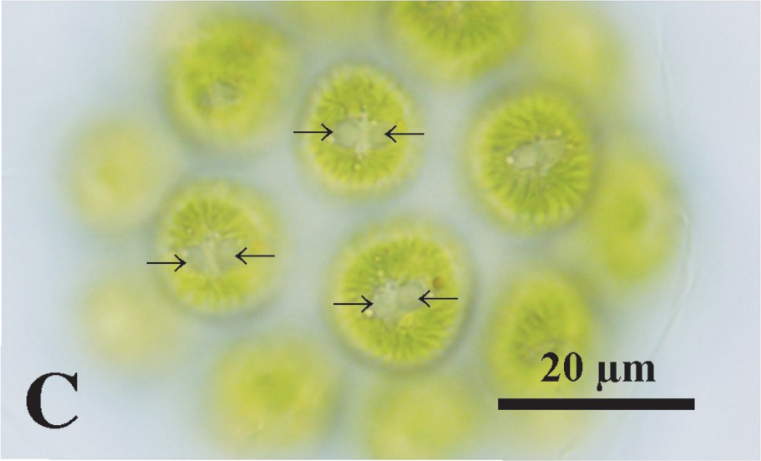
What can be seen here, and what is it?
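These are green algal cells of a colony seen from the surface, each cell round and packed with green chloroplast. The chloroplast shows fine radiating ridges running from the cell edge toward the centre, giving each cell a spoked look. Near the centre of each sharply focused cell lies a small, clear, colourless space; these are the anterior contractile vacuoles. The cells are separated from one another by clear gaps of colourless matrix, and cells at the colony's edge are out of focus and appear paler.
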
